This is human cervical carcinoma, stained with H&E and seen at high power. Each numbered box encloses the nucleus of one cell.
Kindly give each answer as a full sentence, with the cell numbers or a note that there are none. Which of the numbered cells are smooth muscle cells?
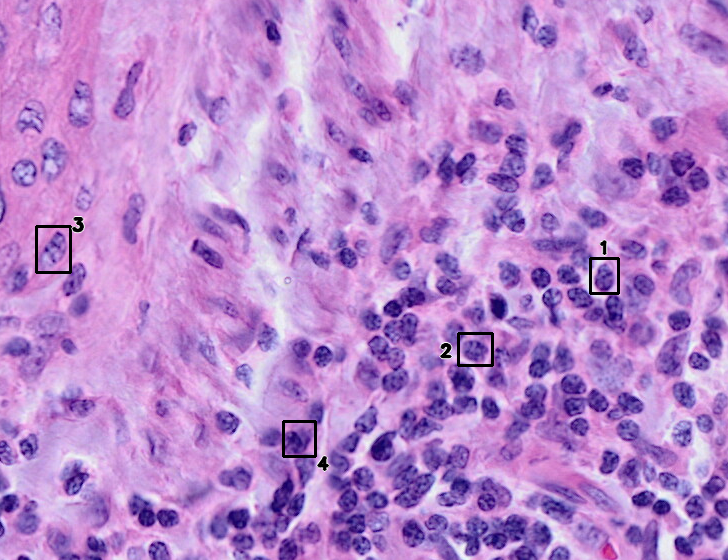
It is cell 3, and no other numbered cell, that is a smooth muscle cell.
